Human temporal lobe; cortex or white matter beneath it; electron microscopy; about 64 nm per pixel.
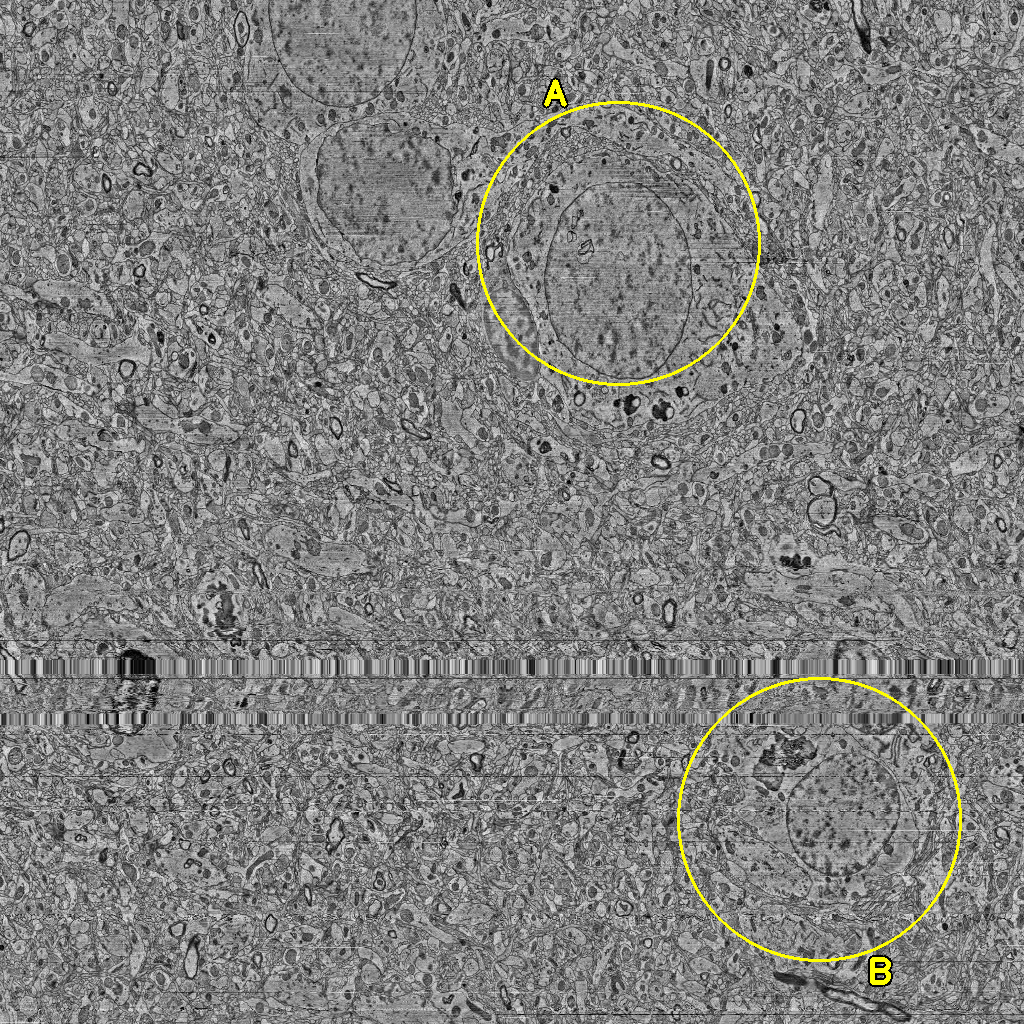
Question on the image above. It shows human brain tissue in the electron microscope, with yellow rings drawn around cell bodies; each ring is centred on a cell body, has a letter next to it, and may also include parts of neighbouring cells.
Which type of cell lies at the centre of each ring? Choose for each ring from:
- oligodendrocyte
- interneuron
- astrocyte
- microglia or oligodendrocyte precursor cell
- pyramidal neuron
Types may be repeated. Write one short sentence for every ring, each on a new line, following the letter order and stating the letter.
Ring A has been drawn around a pyramidal neuron.
Ring B has been drawn around an astrocyte.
